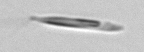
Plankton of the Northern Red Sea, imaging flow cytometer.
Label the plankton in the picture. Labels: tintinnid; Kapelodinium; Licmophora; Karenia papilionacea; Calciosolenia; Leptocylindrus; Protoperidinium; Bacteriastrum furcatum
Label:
Calciosolenia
